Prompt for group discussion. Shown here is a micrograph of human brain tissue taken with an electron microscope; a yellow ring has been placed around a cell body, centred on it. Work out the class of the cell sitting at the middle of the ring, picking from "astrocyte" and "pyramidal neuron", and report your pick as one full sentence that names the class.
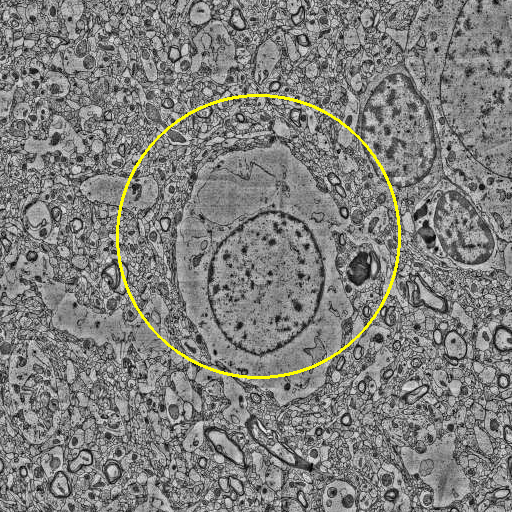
The cell sitting at the middle of the yellow ring is an astrocyte.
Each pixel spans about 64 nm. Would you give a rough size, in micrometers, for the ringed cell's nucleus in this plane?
In this plane, roughly 9 by 7 micrometres.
